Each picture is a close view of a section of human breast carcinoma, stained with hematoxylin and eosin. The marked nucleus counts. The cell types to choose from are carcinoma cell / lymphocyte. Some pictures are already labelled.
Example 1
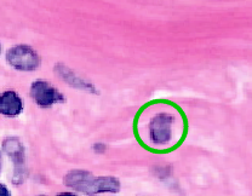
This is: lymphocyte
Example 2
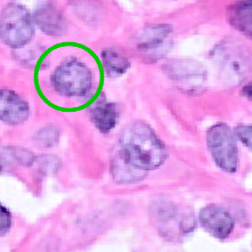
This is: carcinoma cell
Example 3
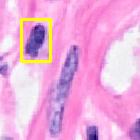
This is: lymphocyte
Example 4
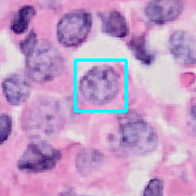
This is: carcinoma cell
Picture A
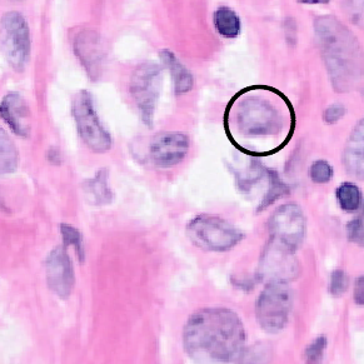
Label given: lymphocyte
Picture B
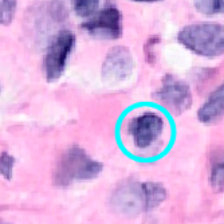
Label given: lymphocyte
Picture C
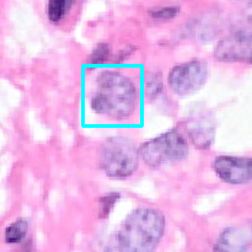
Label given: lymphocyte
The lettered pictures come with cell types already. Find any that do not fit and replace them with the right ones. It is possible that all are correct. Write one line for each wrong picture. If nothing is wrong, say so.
A: carcinoma cell, not lymphocyte
C: carcinoma cell, not lymphocyte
